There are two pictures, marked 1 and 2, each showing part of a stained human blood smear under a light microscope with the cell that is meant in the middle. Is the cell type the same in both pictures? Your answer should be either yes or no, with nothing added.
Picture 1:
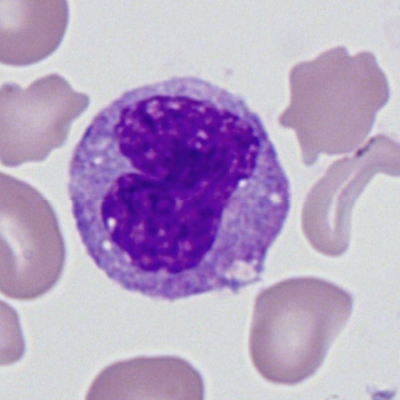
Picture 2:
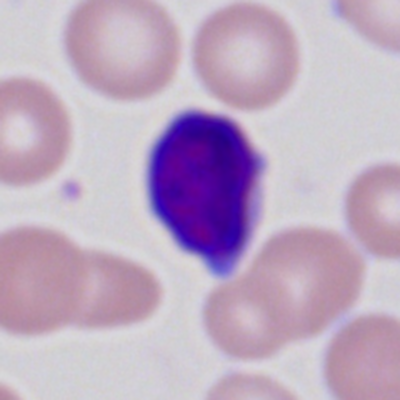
no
